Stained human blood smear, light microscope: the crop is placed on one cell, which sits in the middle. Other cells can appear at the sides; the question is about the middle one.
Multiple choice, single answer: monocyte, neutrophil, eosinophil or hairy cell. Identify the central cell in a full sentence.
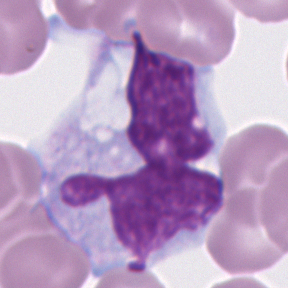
The single cell at the center of the crop is a monocyte.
